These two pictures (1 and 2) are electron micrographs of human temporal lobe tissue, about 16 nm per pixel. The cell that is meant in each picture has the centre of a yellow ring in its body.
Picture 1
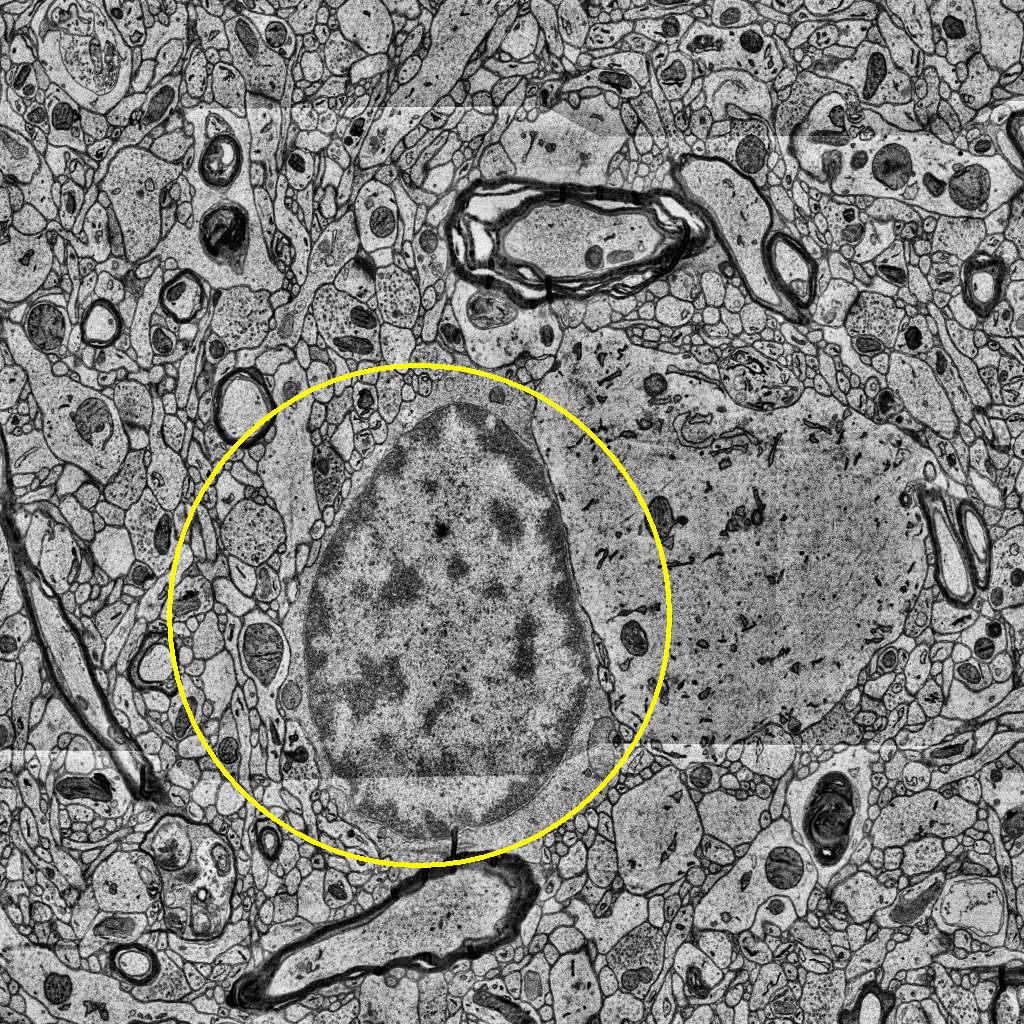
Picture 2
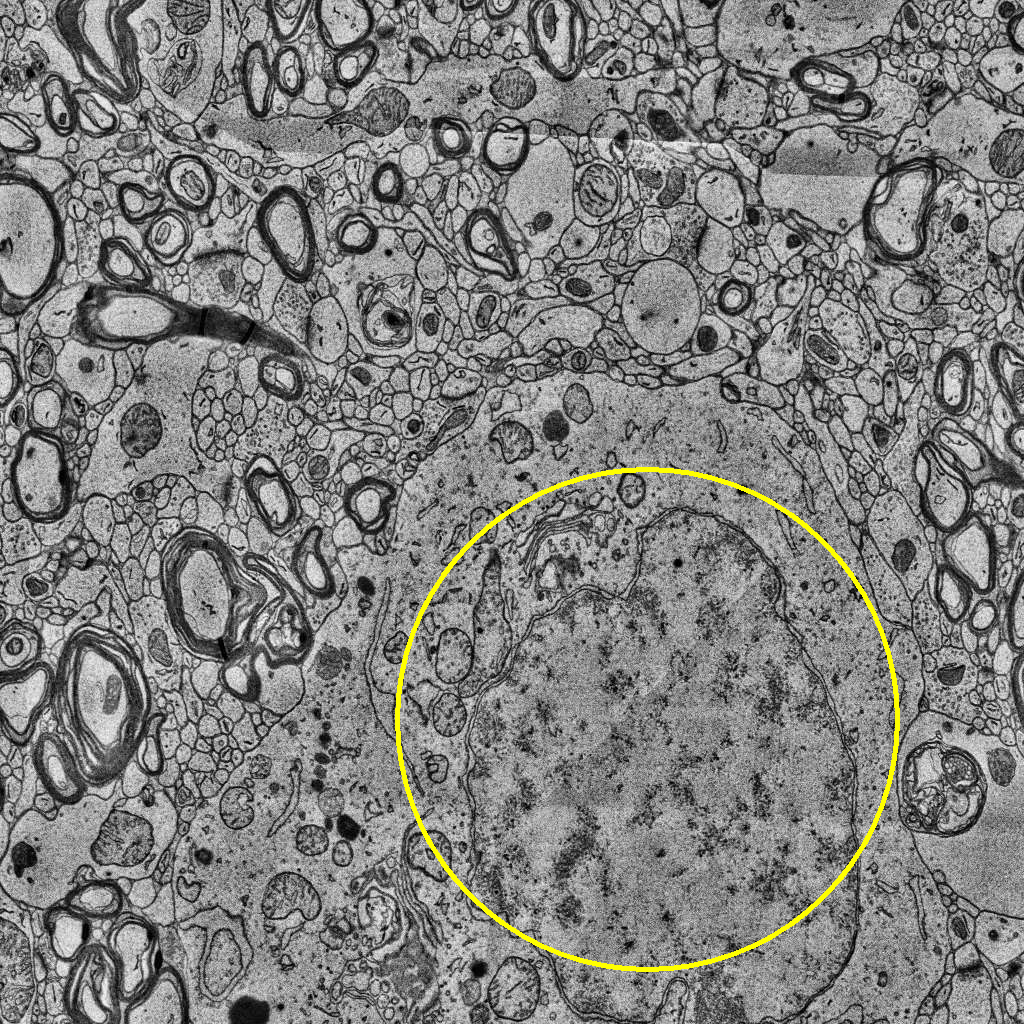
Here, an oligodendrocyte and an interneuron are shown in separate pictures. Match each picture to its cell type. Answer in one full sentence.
Picture 2 shows an interneuron, while picture 1 shows an oligodendrocyte.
